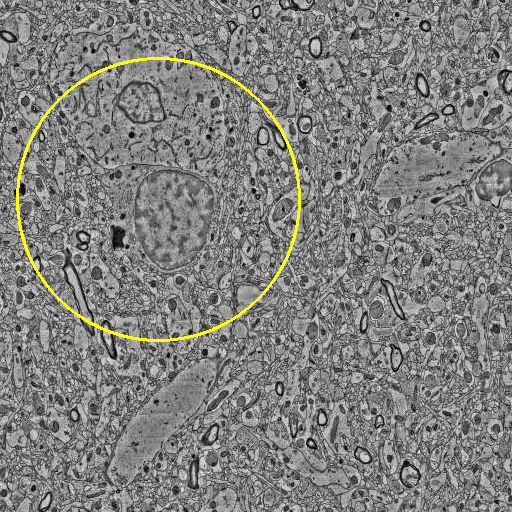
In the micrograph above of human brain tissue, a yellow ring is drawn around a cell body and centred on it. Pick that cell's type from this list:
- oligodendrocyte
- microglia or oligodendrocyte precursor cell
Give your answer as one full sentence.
Going by the list, an oligodendrocyte is the cell on which the yellow ring is centred.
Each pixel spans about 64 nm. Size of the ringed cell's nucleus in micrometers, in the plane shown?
The nucleus has a long axis of about 6 micrometres and a short axis of about 5 micrometres in this plane.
